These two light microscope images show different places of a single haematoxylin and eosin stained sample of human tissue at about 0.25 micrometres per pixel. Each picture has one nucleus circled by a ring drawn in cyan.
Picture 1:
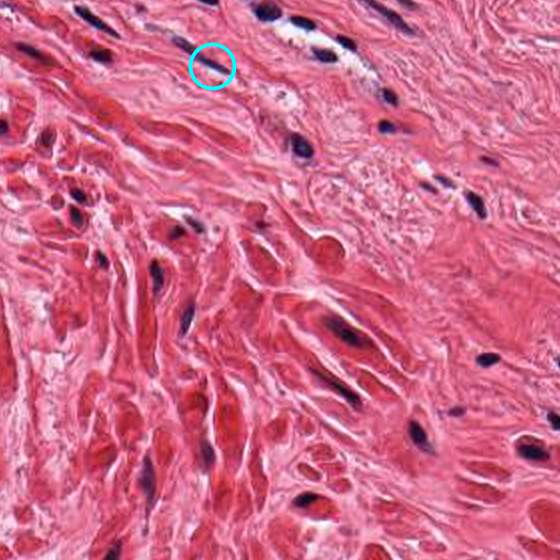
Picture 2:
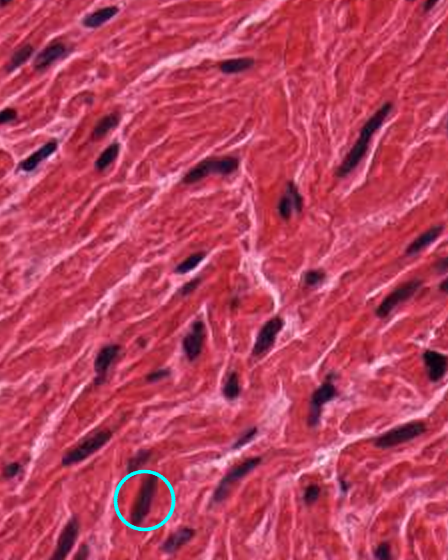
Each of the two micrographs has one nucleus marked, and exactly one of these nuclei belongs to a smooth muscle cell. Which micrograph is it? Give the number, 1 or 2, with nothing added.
2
